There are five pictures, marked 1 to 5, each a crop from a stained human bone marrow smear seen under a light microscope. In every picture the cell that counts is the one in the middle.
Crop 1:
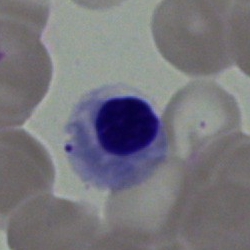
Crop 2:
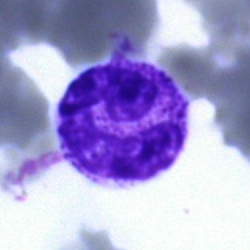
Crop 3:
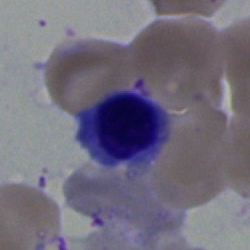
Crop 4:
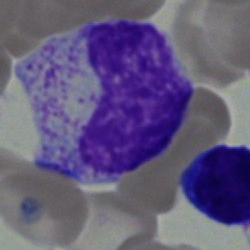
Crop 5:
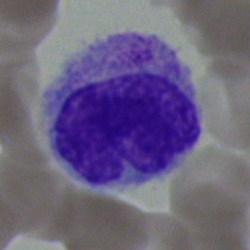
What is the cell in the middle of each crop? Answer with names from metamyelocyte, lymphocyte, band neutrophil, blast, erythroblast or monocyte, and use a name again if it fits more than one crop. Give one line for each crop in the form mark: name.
1: erythroblast
2: band neutrophil
3: erythroblast
4: metamyelocyte
5: monocyte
